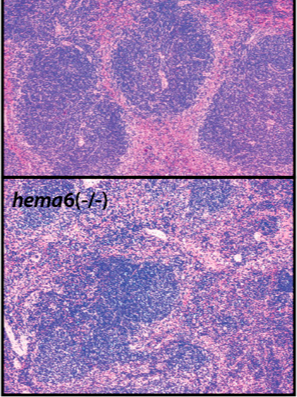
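Two sections of spleen show rounded, dark-blue nodules of tightly packed small round cells, the white pulp, set in paler pink-purple tissue, the red pulp. In the lower section the dark nodules are less sharply outlined and the pink red pulp between them takes up more of the field.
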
